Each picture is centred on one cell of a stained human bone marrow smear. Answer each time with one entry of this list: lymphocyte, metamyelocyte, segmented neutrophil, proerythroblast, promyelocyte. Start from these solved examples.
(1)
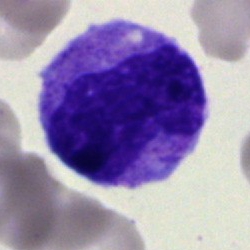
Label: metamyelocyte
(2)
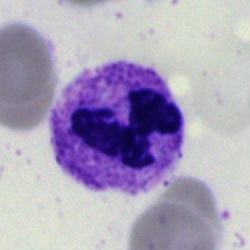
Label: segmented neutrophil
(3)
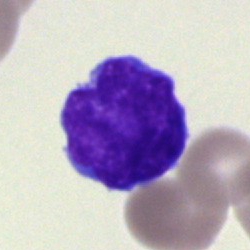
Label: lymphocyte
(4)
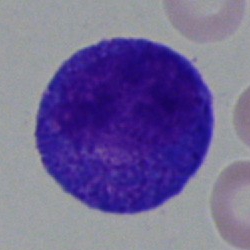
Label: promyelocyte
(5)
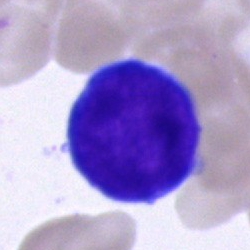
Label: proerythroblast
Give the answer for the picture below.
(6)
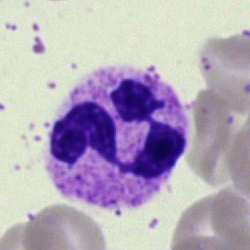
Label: segmented neutrophil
